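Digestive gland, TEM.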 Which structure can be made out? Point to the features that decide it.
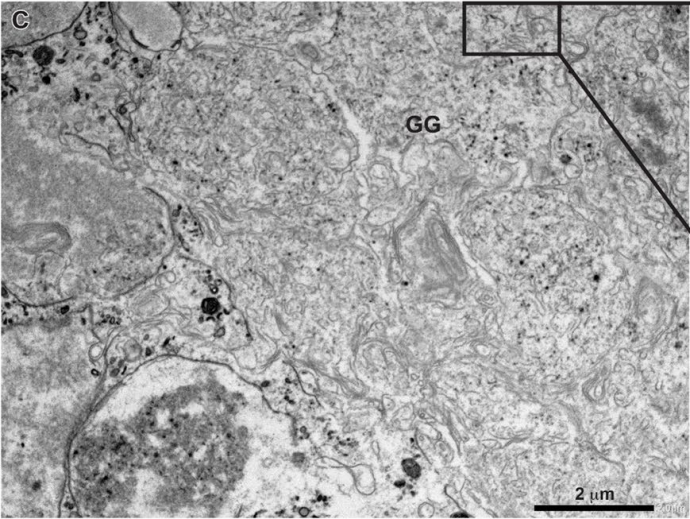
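Many curved and looping membrane profiles fill a pale granule content. Near the centre a stack of concentric curving membranes is visible. Small dense particles are scattered among the membranes. That points to this answer: membrane swirls.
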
